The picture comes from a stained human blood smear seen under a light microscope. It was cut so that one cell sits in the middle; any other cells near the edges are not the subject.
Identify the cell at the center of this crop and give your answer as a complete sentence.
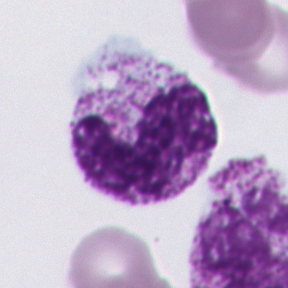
In short, the cell at the center is a band neutrophil.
